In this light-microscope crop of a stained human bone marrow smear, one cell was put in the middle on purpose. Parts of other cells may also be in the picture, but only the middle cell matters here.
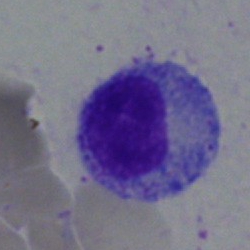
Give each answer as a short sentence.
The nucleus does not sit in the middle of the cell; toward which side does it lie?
It is shifted toward the left of the cell.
